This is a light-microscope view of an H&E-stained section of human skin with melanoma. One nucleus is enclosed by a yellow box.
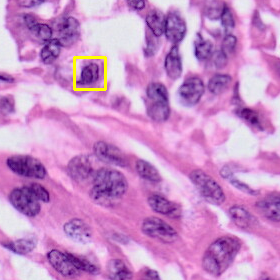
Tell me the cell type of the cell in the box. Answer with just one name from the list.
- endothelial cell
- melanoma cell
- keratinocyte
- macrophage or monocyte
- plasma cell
melanoma cell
